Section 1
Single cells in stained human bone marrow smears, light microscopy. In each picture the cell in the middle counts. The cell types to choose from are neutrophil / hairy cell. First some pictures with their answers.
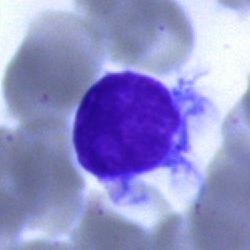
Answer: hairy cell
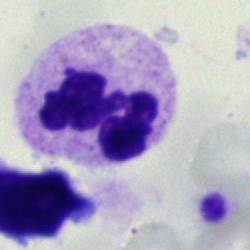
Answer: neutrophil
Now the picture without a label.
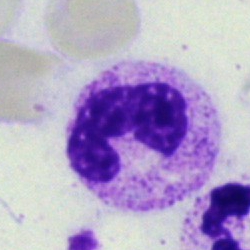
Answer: neutrophil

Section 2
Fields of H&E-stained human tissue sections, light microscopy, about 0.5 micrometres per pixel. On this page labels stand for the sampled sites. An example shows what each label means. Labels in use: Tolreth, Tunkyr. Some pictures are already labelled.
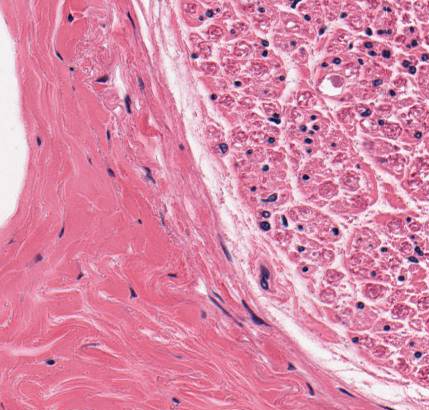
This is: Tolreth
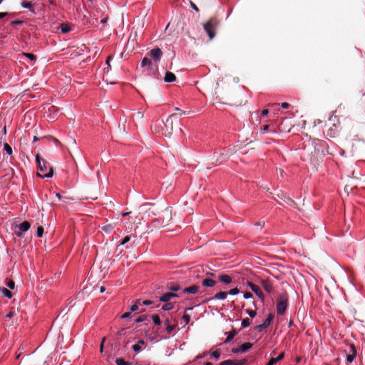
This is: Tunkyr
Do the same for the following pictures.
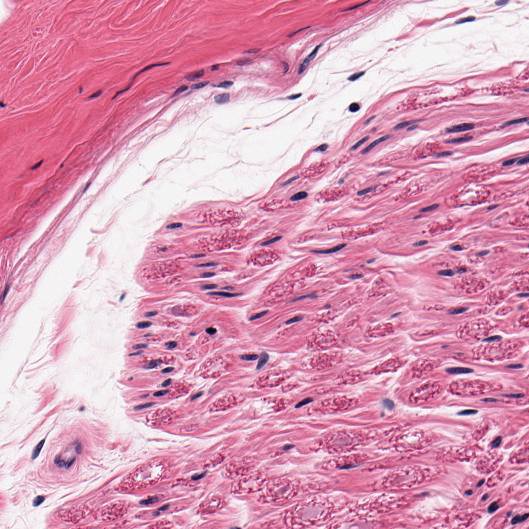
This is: Tolreth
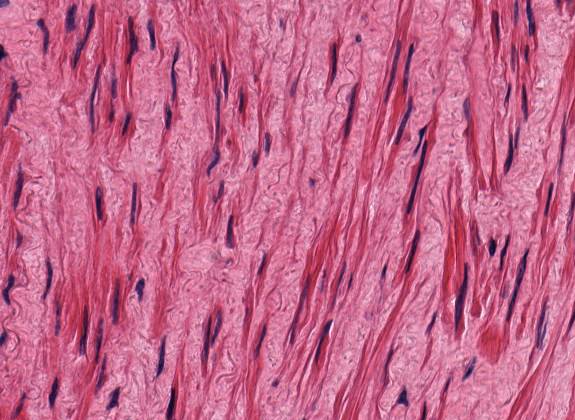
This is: Tunkyr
